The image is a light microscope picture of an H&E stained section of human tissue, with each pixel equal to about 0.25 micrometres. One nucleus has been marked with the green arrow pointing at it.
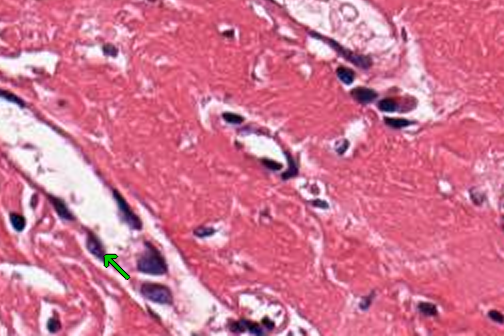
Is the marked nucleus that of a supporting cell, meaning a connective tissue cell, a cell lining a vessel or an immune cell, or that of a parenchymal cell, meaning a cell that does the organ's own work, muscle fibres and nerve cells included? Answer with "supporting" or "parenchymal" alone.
supporting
